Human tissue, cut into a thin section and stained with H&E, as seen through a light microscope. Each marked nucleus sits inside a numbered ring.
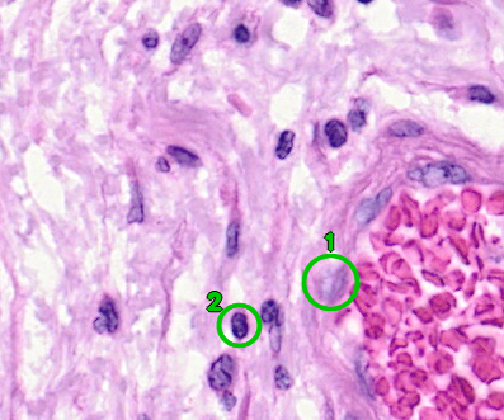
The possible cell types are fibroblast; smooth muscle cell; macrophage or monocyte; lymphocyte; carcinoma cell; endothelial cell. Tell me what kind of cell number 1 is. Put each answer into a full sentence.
The marked cell bearing number 1 is an endothelial cell.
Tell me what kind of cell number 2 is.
Cell number 2 in this section is a lymphocyte.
